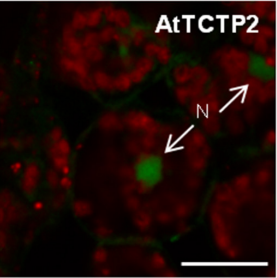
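Mesophyll cells of a leaf at high magnification. Each large rounded cell holds clustered red, lobed bodies along its periphery. Faint green lines trace the cell boundaries.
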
